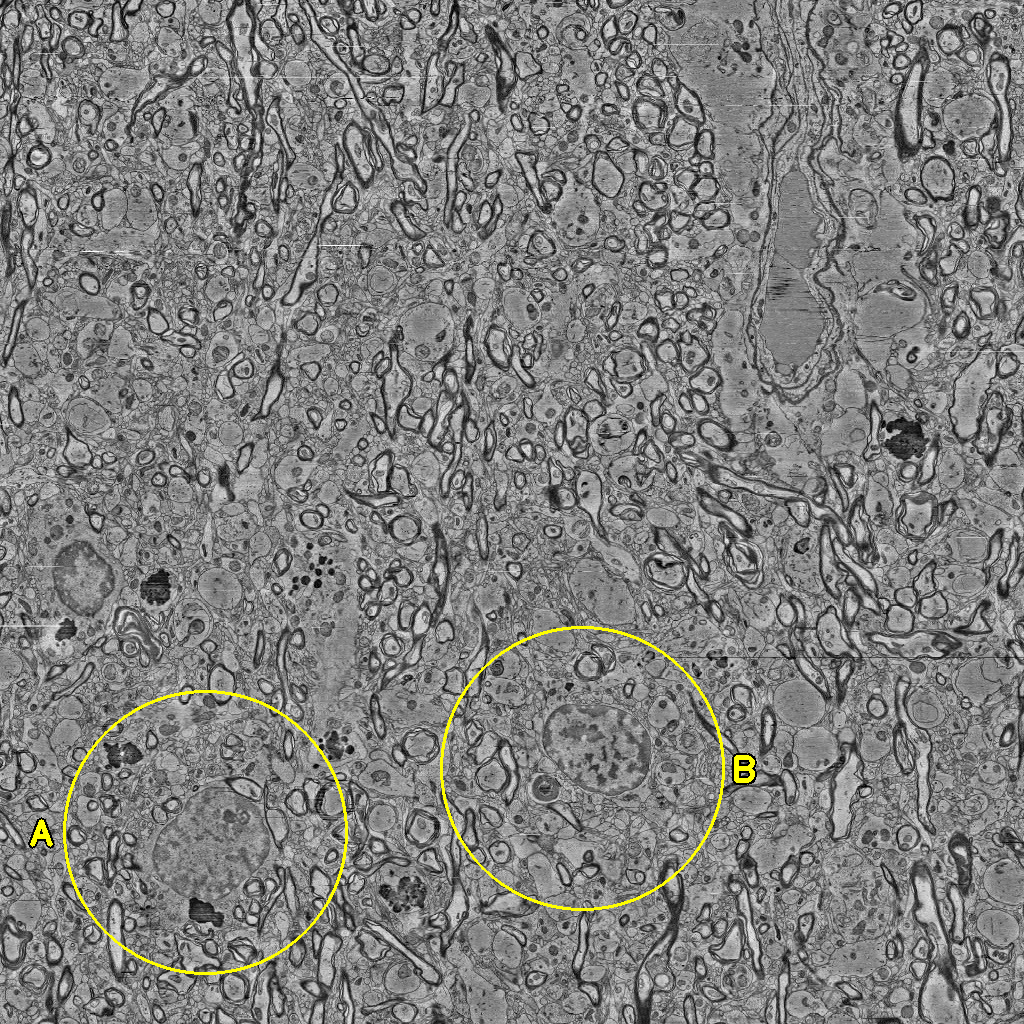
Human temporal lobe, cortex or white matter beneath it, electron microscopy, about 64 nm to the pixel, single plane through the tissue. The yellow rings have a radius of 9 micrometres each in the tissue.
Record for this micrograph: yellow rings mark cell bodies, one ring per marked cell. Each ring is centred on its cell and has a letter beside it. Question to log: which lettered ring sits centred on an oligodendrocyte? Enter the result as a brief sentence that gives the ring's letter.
Ring A holds it at its centre.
